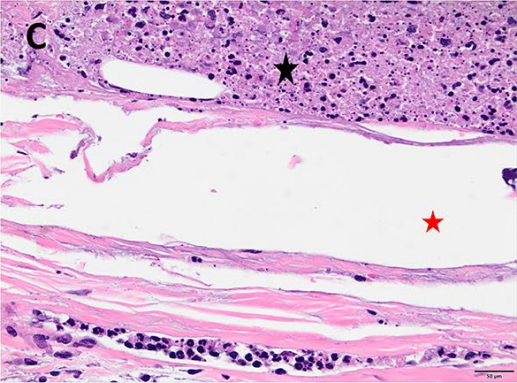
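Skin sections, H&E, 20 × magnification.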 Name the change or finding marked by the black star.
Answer: necrotic debris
